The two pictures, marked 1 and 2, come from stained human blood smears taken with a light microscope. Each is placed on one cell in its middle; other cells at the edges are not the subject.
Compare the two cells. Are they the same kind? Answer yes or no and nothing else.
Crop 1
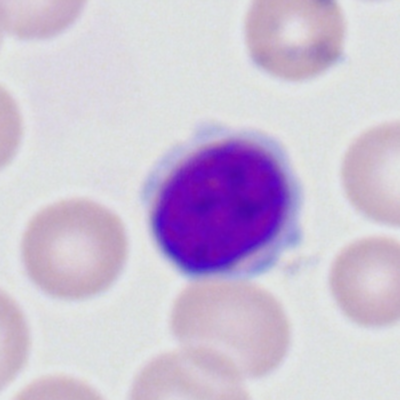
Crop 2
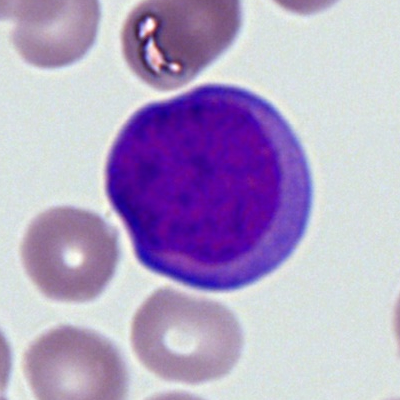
no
